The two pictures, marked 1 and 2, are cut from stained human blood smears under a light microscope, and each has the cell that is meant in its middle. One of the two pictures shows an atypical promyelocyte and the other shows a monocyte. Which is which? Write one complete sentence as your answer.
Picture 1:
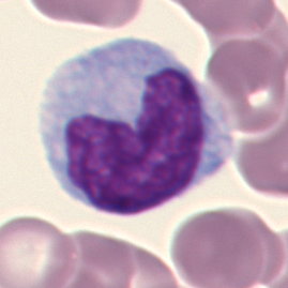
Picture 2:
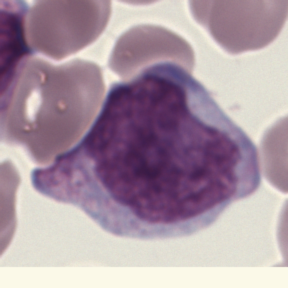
It is picture 1 that shows a monocyte, and picture 2 that shows an atypical promyelocyte.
